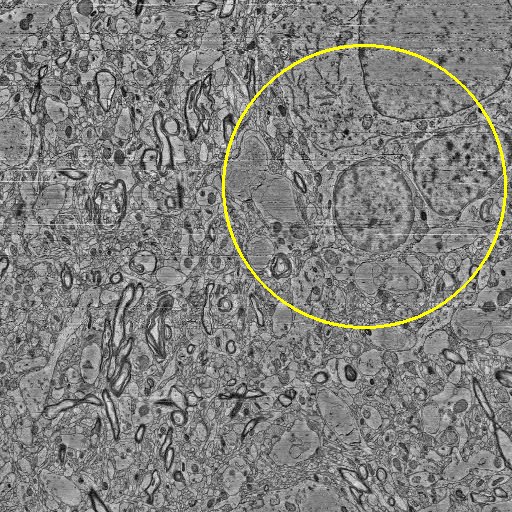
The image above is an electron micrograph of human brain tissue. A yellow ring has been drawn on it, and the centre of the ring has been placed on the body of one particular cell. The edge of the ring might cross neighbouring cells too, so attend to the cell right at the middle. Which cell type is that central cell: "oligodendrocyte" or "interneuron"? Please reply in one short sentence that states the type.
The central cell in the ring is an oligodendrocyte.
